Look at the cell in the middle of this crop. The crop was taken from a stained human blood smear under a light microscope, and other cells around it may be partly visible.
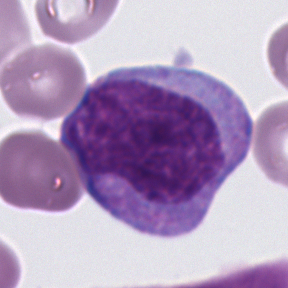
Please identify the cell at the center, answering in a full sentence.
Looking at the middle of the crop, the cell there is an atypical promyelocyte.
